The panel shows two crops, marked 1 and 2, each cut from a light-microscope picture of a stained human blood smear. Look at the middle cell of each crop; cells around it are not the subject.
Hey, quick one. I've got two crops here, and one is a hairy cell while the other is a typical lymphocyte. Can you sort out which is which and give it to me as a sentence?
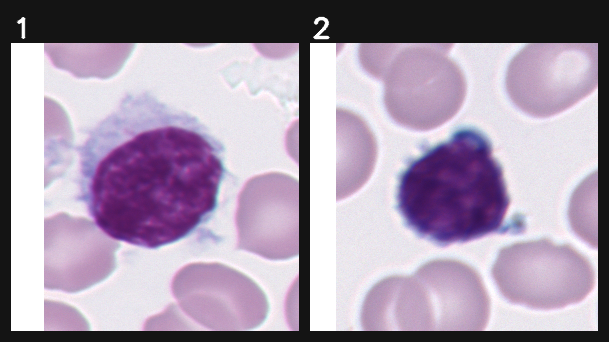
Crop 2 contains a typical lymphocyte, whereas crop 1 contains a hairy cell.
